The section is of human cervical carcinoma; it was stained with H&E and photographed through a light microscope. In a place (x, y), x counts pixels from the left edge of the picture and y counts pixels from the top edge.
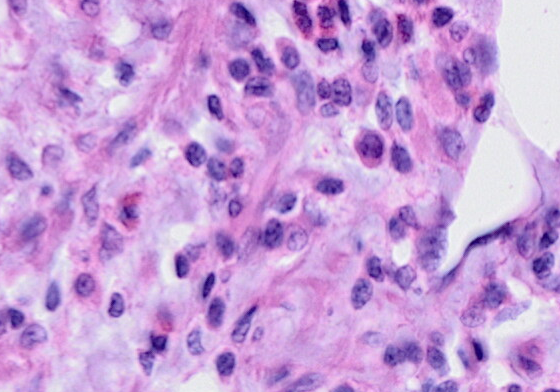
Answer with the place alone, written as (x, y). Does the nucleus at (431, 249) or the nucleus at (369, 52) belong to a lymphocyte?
(369, 52)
